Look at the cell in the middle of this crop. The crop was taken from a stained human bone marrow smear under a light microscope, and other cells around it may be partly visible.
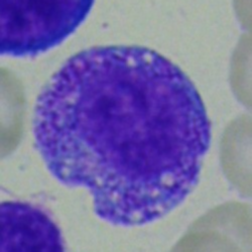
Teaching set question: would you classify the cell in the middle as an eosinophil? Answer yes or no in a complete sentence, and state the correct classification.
No, the middle cell is classified as a myelocyte instead of an eosinophil.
